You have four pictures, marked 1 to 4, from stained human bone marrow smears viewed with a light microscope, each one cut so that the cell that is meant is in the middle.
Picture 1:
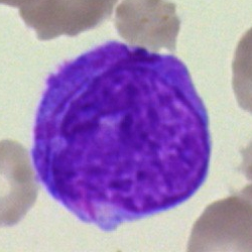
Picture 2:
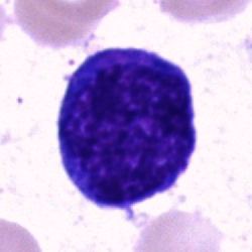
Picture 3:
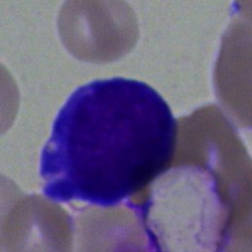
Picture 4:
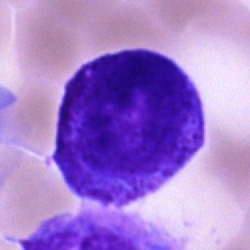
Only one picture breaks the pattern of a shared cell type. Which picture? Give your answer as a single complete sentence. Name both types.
All pictures except 2 show blasts; picture 2 shows a promyelocyte.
